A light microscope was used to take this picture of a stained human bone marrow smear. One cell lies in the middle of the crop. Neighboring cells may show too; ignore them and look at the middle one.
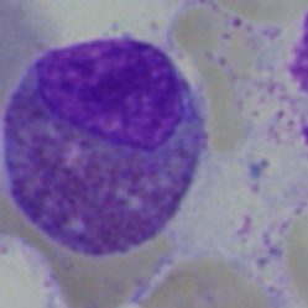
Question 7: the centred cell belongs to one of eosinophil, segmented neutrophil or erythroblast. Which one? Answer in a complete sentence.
The cell in the exact centre of the crop is an eosinophil.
